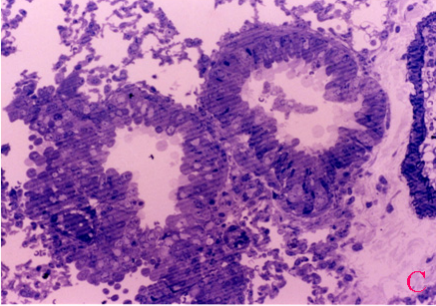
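Two small lung airways are cut across, their lining greatly thickened by a crowded epithelium packed with goblet cells. The lumens are narrowed and hold a few pale round globules, likely secreted material. Around the airways lie thin alveolar walls of the surrounding lung, and at one edge a band of looser connective tissue runs beside another dark epithelial lining. Compared with a normal bronchiole, the even single row of short columnar cells is lost.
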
